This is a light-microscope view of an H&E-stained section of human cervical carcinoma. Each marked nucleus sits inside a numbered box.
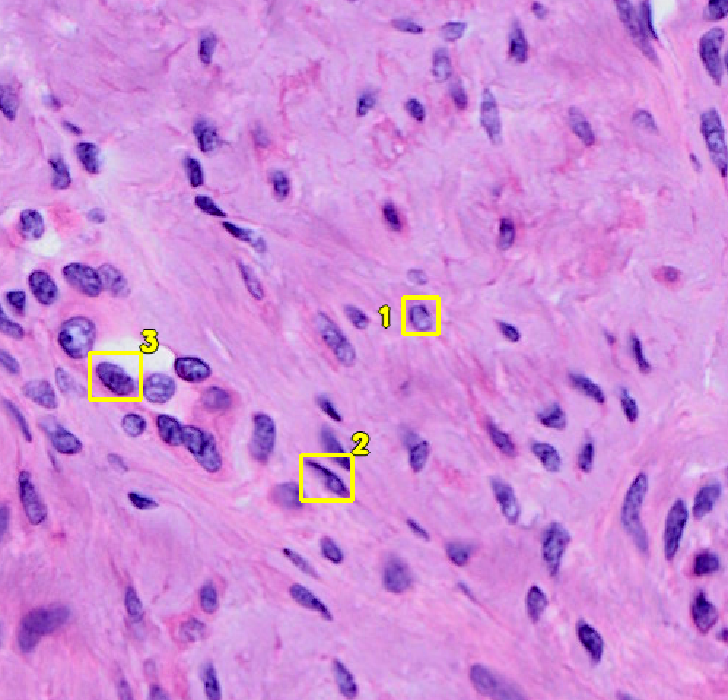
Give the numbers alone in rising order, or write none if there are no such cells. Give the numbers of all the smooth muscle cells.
1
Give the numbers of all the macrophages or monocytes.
none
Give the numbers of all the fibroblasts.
2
